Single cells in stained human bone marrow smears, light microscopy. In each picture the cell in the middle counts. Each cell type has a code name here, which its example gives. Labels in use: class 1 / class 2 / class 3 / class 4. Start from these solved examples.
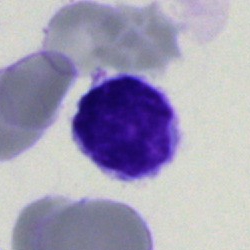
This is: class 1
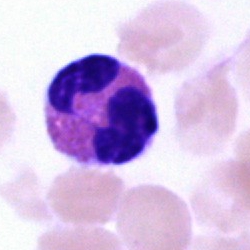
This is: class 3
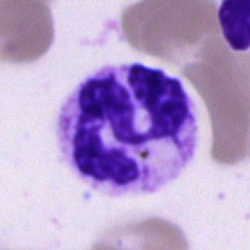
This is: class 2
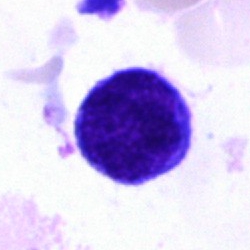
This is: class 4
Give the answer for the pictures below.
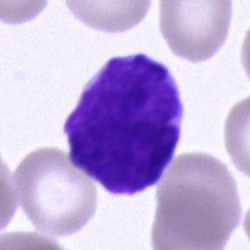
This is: class 1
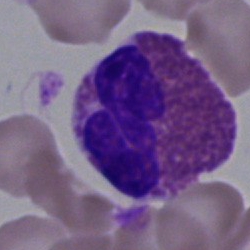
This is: class 3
